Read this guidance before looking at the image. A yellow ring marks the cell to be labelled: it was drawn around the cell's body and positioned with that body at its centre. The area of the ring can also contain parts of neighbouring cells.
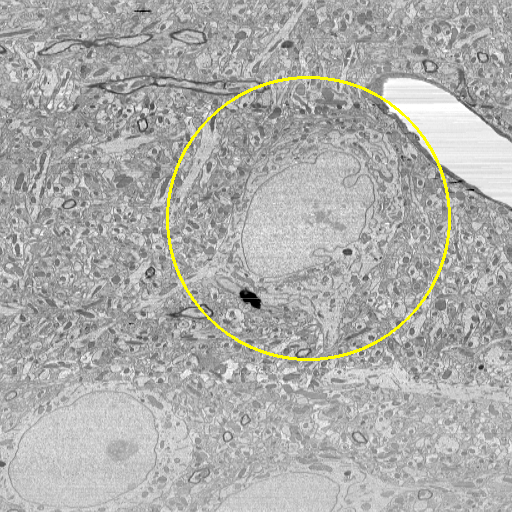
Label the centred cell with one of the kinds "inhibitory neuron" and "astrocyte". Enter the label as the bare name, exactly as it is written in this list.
inhibitory neuron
